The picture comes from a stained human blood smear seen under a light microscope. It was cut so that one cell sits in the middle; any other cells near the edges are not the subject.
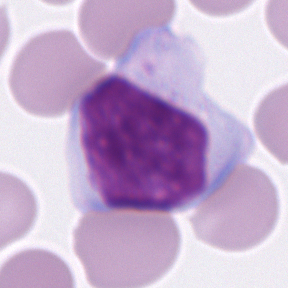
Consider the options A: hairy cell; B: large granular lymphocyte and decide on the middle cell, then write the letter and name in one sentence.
The cell centred in the crop is a large granular lymphocyte, and the correct option is thus B.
